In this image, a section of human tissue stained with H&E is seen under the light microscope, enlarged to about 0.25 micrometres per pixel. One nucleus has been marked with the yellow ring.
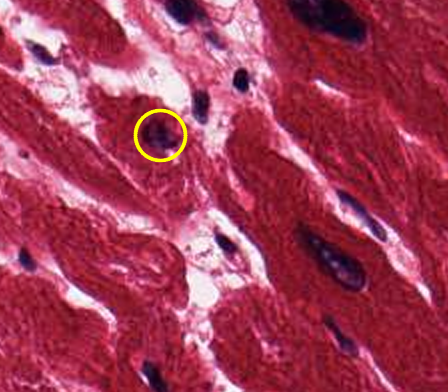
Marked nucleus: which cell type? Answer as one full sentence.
The nucleus singled out by the mark belongs to a cardiomyocyte.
